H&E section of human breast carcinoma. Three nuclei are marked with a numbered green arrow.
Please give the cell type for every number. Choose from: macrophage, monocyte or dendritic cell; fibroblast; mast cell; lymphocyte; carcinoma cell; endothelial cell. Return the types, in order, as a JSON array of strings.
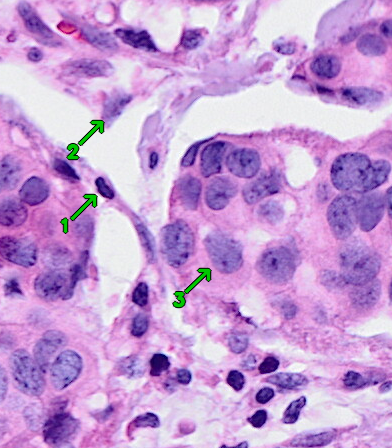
["lymphocyte", "fibroblast", "carcinoma cell"]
